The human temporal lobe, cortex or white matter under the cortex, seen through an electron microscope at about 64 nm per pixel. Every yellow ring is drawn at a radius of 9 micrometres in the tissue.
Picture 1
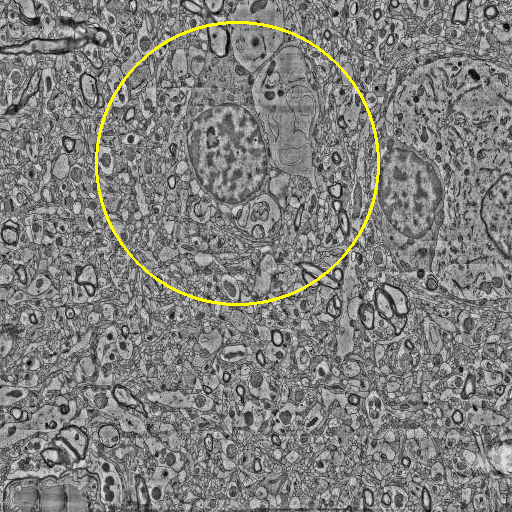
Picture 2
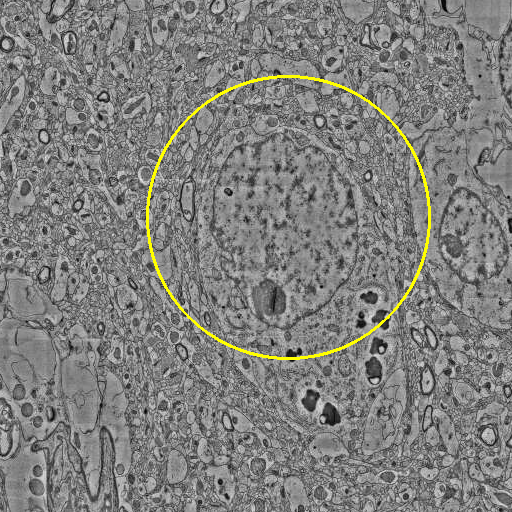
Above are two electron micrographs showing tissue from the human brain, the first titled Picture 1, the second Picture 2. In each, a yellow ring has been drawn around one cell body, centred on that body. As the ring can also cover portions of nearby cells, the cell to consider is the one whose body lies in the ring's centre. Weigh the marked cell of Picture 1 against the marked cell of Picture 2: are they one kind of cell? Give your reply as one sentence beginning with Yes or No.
No, the two cells sitting at the ring centres in the pictures are of two kinds.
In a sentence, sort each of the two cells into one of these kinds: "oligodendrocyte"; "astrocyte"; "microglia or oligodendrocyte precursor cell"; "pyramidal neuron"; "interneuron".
The first of the two cells is an oligodendrocyte, and the second is an interneuron.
